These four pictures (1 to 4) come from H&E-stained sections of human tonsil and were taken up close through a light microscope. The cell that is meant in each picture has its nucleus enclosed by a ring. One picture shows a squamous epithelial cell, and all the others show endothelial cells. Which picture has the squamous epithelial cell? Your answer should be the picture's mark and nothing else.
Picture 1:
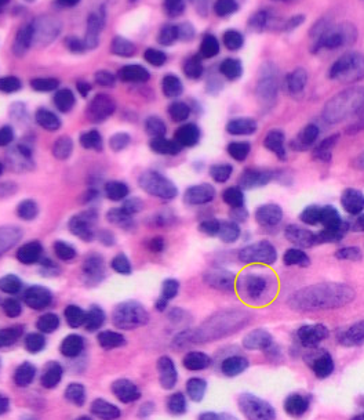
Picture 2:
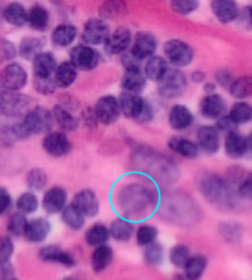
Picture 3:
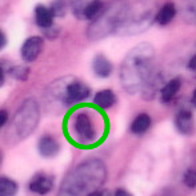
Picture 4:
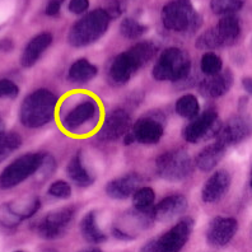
4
